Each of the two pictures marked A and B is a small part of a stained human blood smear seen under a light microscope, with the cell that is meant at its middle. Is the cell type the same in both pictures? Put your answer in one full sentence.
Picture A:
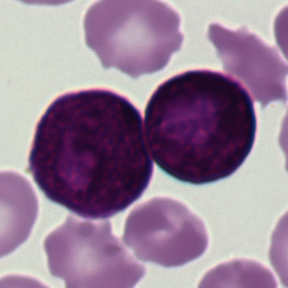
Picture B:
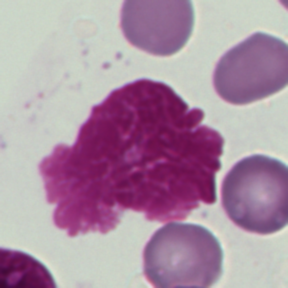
No; the cell in picture A is a myeloblast, while the one in picture B is a smudge cell.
